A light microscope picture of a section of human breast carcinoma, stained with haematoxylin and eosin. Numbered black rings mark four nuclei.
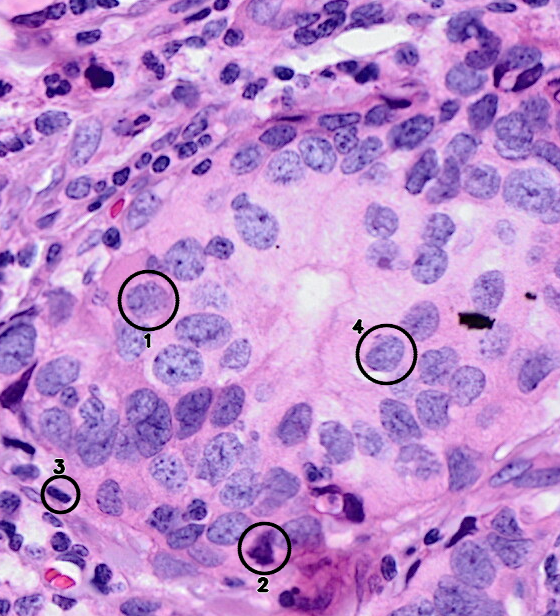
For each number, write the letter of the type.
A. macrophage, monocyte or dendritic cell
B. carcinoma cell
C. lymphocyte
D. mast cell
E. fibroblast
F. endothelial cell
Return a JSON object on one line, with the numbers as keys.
{"1": "B", "2": "B", "3": "C", "4": "B"}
